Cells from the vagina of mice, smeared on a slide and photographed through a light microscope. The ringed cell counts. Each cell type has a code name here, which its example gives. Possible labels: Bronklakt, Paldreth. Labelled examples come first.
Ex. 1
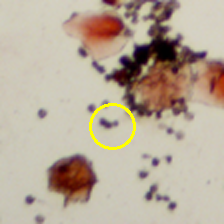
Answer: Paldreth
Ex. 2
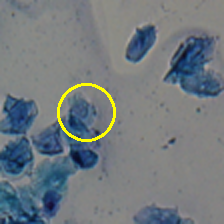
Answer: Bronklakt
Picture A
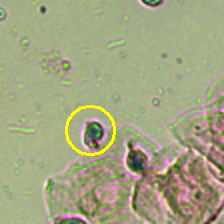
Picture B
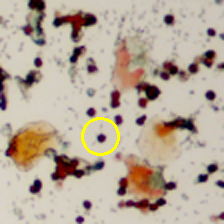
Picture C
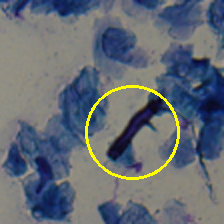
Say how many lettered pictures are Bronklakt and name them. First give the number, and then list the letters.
1: C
